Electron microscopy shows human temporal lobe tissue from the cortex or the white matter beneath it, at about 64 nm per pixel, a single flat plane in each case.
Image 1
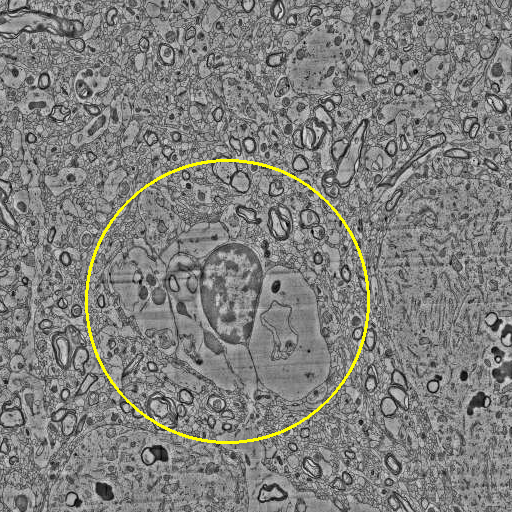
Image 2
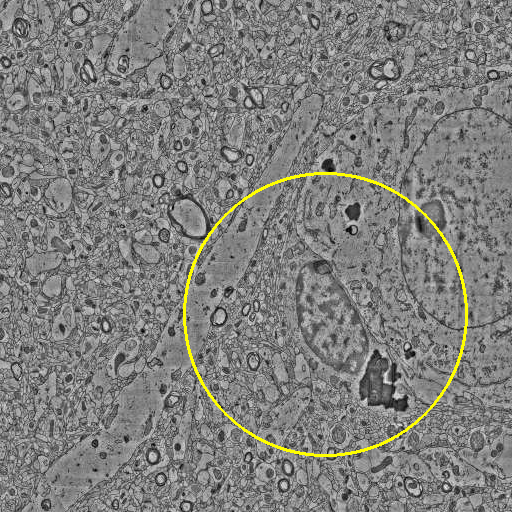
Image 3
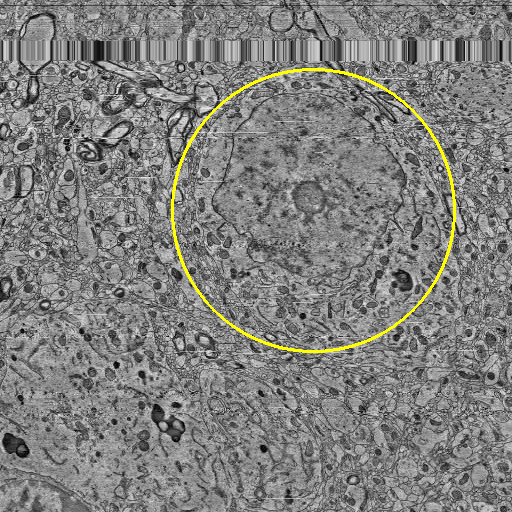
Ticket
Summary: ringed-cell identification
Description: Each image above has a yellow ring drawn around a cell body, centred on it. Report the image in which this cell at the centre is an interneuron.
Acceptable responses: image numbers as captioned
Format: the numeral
3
